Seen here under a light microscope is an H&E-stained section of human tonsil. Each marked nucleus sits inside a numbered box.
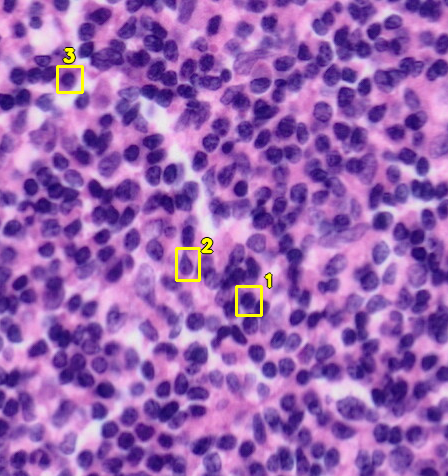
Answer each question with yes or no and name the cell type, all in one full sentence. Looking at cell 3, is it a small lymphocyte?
No, the cell numbered 3 is a plasma cell rather than a small lymphocyte.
